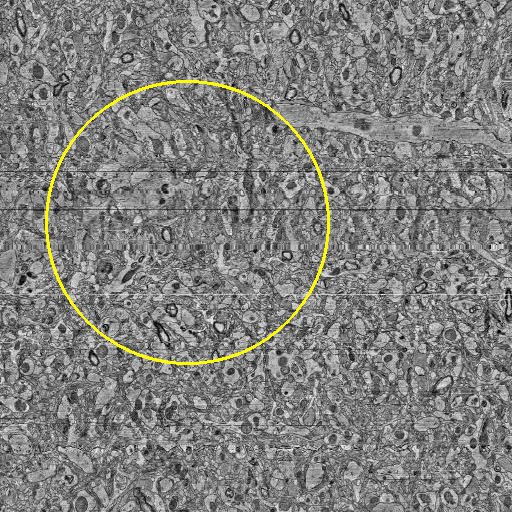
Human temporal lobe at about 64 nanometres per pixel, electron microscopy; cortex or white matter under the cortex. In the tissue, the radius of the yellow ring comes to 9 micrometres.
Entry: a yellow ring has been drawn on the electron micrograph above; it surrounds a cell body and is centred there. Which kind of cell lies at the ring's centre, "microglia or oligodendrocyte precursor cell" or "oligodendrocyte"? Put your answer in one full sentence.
The cell sitting at the ring's centre is a microglial cell or oligodendrocyte precursor cell in the micrograph above.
